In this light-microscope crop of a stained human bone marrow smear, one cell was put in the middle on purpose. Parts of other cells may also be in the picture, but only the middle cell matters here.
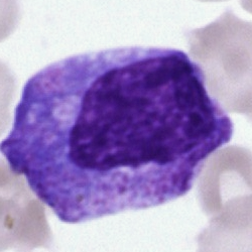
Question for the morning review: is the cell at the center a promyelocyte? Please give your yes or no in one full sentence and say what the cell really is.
Yes, the cell at the middle is a promyelocyte.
